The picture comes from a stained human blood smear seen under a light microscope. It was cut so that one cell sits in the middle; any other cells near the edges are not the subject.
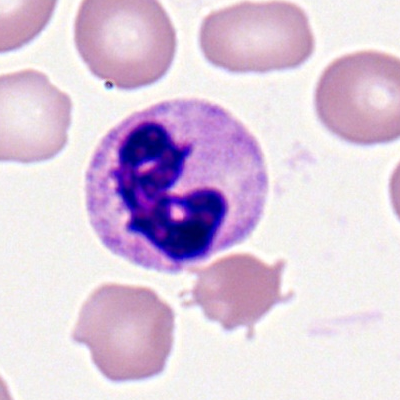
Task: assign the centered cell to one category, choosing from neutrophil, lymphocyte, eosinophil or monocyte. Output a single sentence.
This crop is built around a neutrophil at its centre.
